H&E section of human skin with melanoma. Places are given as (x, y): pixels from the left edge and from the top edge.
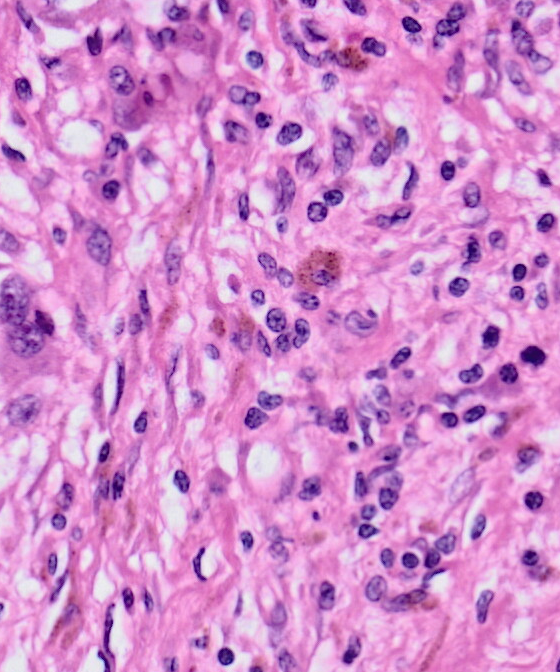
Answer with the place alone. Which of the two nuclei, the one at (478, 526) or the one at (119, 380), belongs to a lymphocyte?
(478, 526)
